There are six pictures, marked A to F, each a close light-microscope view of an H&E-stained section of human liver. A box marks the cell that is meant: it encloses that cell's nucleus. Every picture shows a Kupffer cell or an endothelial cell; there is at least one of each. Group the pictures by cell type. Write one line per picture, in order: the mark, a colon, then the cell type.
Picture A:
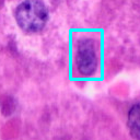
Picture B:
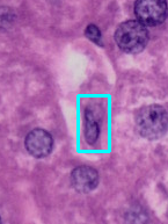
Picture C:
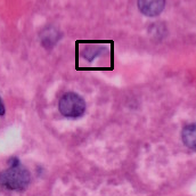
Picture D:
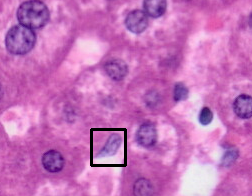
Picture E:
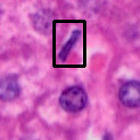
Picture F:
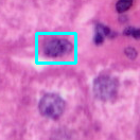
A: Kupffer cell
B: Kupffer cell
C: endothelial cell
D: endothelial cell
E: endothelial cell
F: Kupffer cell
